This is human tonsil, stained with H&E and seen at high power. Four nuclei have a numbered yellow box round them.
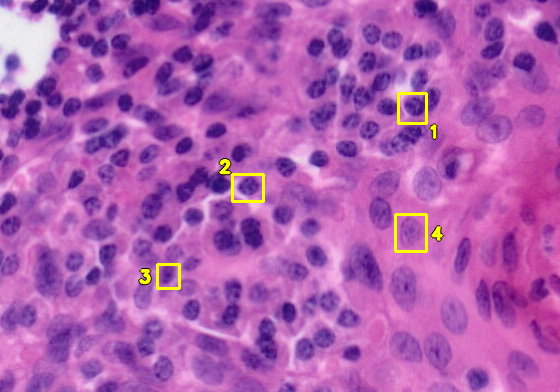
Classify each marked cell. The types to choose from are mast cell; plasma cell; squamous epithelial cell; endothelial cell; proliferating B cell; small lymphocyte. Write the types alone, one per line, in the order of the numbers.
plasma cell
plasma cell
plasma cell
squamous epithelial cell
